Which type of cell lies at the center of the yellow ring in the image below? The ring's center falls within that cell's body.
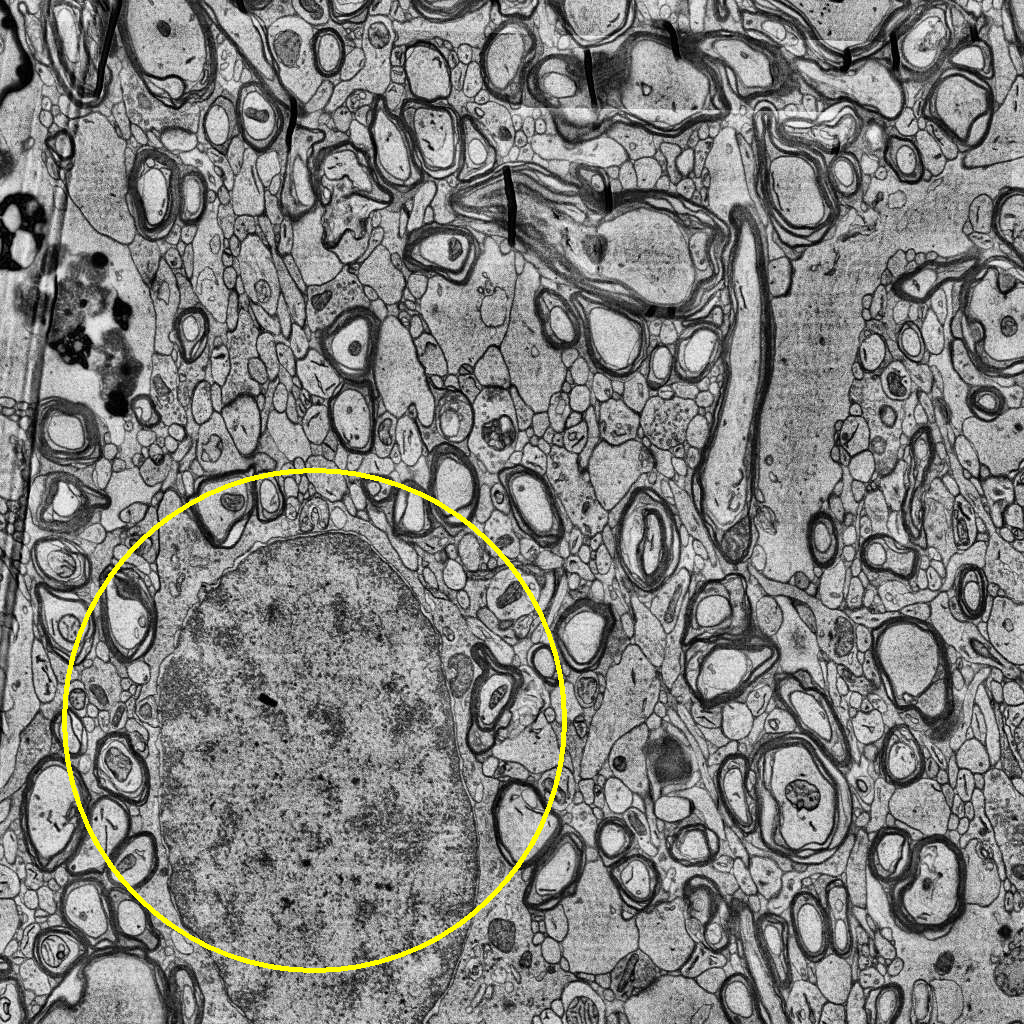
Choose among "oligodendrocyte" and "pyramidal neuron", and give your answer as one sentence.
The cell body at the center belongs to an oligodendrocyte.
